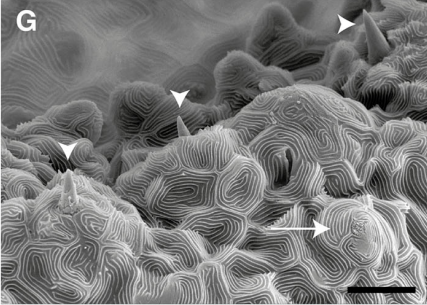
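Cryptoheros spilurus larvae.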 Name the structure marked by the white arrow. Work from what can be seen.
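A rounded dome-shaped elevation among the ridged epithelial cells. A small apical patch at the top of the dome.
Conclusion: taste buds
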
